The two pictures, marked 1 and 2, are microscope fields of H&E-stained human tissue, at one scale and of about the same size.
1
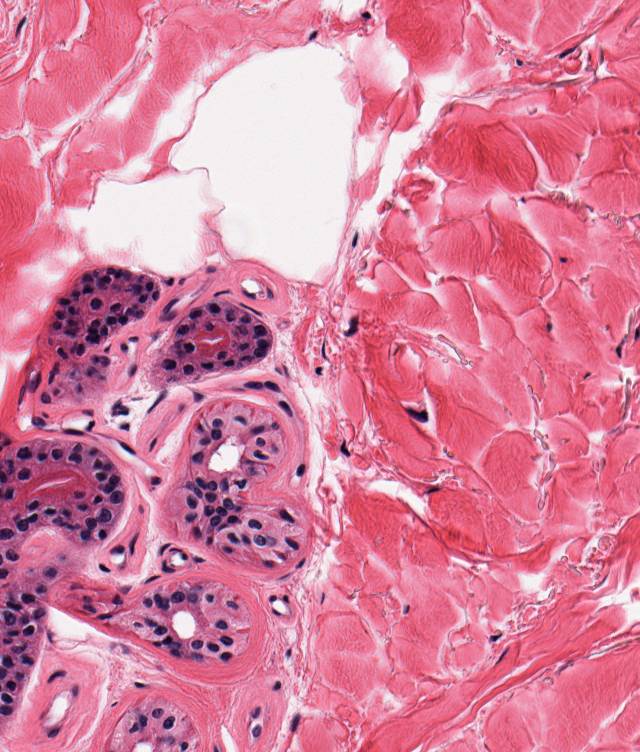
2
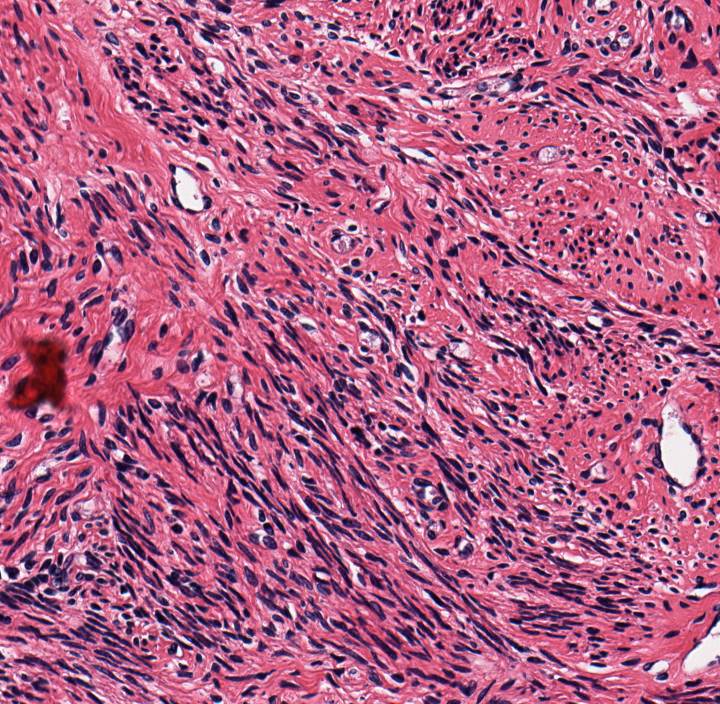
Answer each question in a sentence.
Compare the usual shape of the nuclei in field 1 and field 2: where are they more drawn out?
It is field 2 whose nuclei are the more elongated.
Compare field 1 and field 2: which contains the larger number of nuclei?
Field 2 holds more nuclei than field 1.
